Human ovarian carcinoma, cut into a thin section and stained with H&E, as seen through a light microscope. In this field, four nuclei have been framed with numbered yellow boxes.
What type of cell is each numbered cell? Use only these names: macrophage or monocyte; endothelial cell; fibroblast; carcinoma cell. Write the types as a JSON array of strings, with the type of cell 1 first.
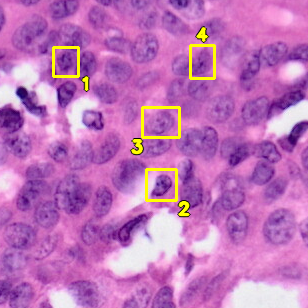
["carcinoma cell", "macrophage or monocyte", "carcinoma cell", "carcinoma cell"]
